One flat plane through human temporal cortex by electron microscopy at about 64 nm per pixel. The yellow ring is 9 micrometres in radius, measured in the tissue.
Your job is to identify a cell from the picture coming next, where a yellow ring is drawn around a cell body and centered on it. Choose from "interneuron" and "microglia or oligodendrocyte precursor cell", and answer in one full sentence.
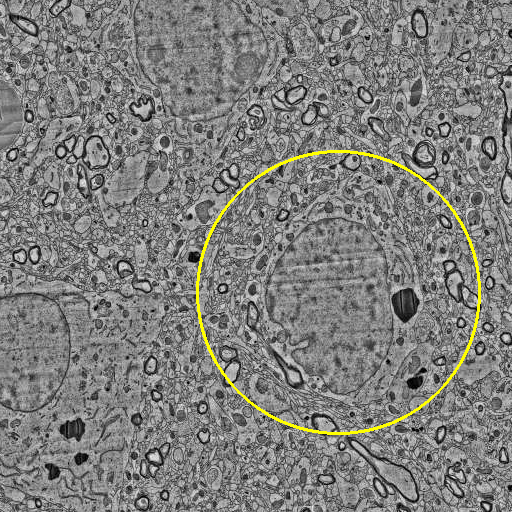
Centered in the yellow ring of the picture is the body of an interneuron.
